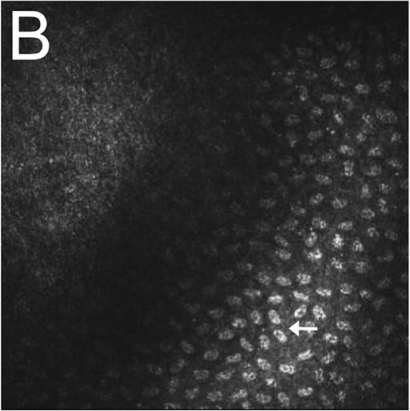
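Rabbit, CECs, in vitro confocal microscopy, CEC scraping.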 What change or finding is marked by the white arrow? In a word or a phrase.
High nucleus reflection.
